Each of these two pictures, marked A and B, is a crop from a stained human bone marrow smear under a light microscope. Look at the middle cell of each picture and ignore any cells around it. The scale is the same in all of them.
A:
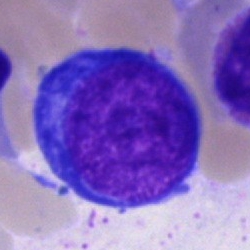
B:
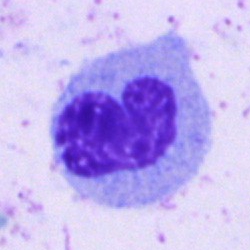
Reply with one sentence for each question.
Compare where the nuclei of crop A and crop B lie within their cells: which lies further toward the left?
Seen within its cell, the nucleus in crop B lies further toward the left.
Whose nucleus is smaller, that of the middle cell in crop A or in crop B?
Crop B shows the smaller nucleus, since that in crop A covers about 1.5 times as much area.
